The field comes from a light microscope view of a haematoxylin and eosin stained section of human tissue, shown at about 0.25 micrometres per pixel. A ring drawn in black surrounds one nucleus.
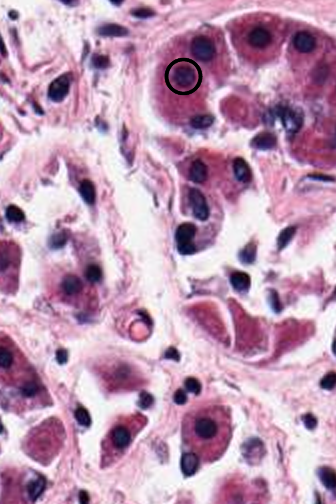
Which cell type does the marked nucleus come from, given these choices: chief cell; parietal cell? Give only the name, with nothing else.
parietal cell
